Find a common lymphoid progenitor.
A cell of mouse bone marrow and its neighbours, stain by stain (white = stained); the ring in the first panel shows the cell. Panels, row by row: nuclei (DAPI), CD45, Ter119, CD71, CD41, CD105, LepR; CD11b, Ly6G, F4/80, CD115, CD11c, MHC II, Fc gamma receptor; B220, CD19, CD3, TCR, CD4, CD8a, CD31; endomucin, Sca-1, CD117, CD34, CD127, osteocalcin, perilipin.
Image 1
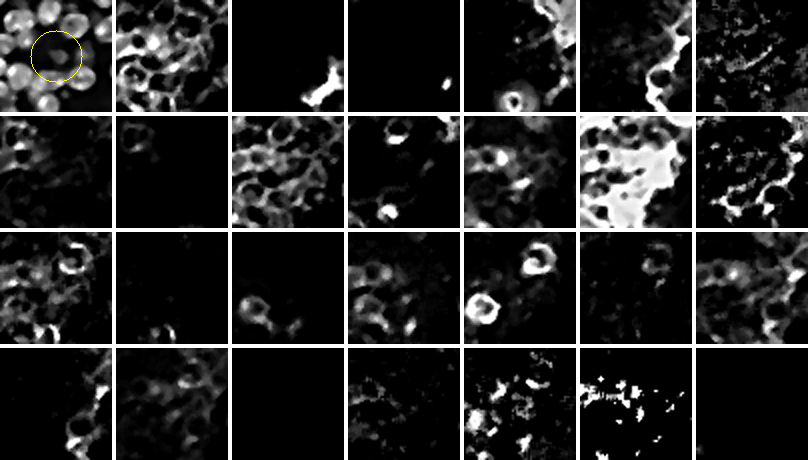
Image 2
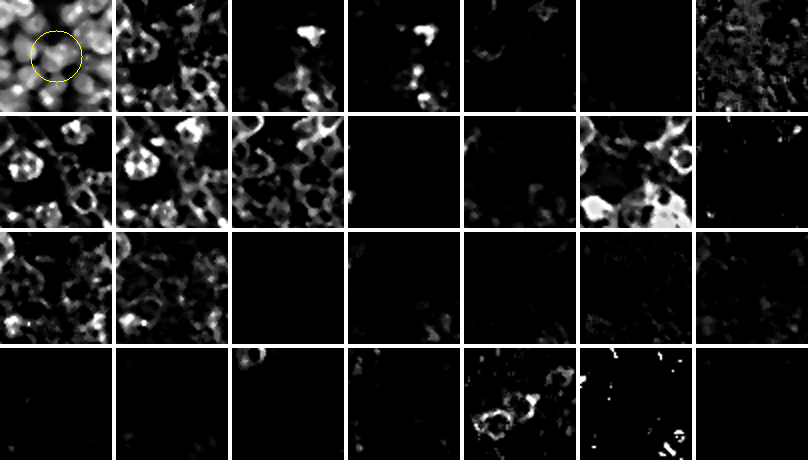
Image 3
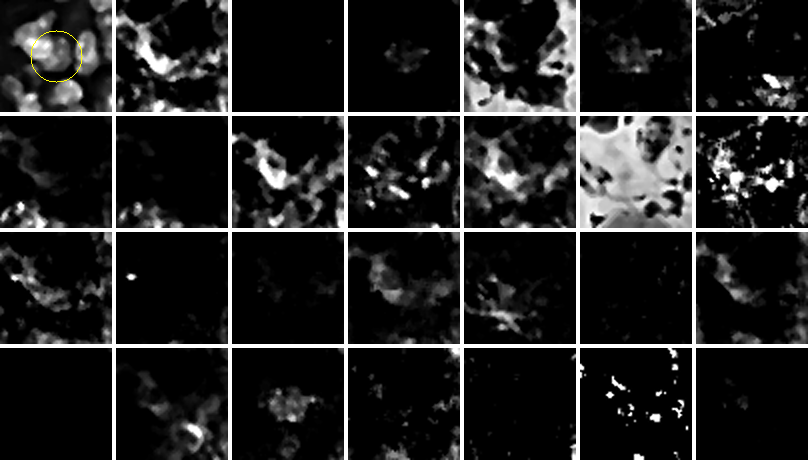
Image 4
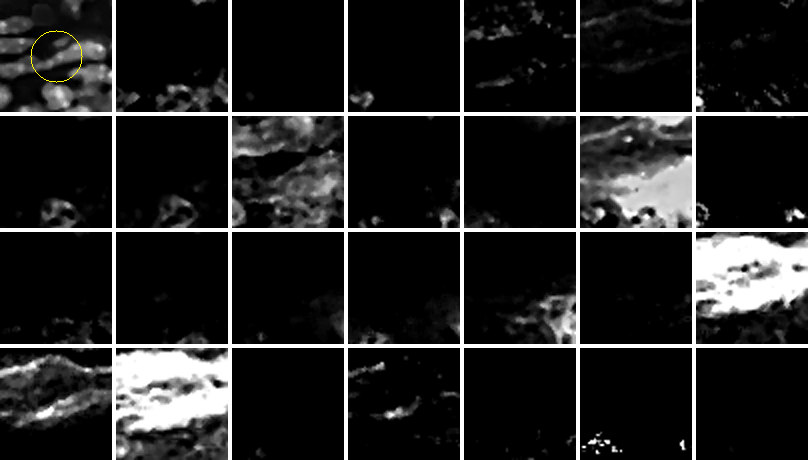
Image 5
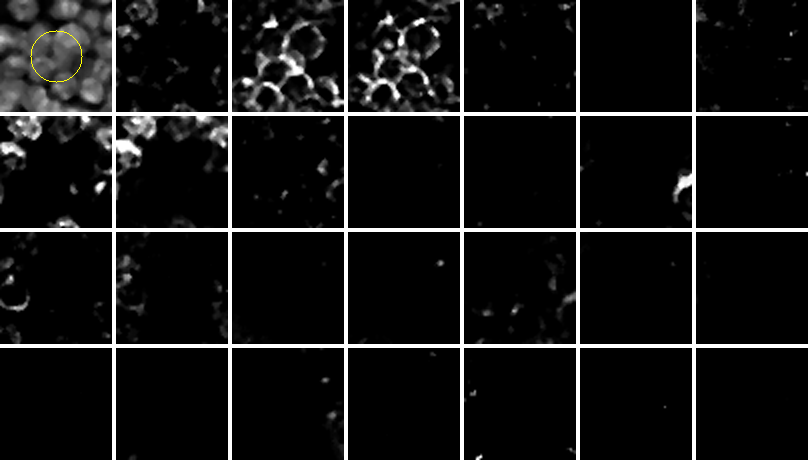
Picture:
2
